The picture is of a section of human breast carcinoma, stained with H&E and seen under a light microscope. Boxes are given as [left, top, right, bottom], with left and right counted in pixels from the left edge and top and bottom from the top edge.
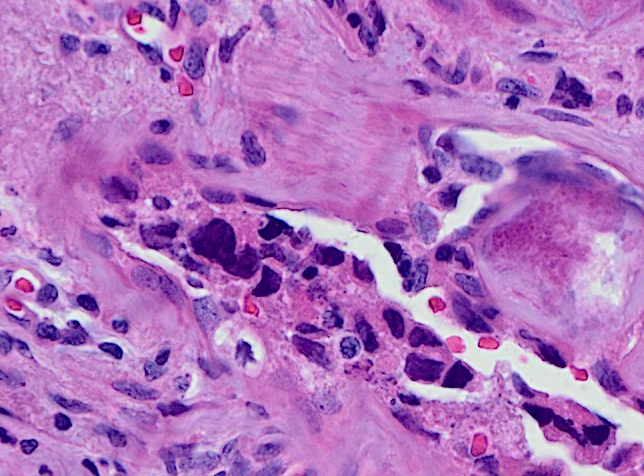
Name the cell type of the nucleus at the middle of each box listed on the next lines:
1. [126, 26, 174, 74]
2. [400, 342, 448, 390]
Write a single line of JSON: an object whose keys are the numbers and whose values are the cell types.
{"1": "endothelial cell", "2": "carcinoma cell"}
